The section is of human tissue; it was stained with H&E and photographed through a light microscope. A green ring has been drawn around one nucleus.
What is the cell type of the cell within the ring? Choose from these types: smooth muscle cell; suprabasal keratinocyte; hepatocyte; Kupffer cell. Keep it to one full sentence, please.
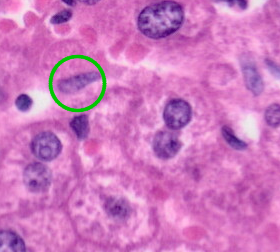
As far as its identity is concerned, the cell within the ring is a Kupffer cell.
